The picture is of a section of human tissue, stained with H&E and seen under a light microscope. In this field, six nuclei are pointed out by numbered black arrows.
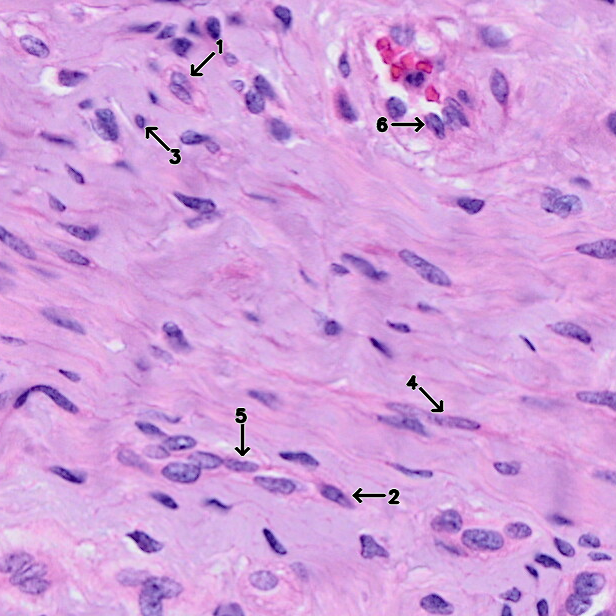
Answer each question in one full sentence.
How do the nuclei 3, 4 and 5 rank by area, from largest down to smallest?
The nuclei rank 4, 5, 3, from largest to smallest.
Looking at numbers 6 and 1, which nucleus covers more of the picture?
Nucleus 1 covers more area, about 1.5 times as much as nucleus 6.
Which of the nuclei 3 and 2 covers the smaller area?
With nucleus 2 about 3 times its size, nucleus 3 is the smaller of the two.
